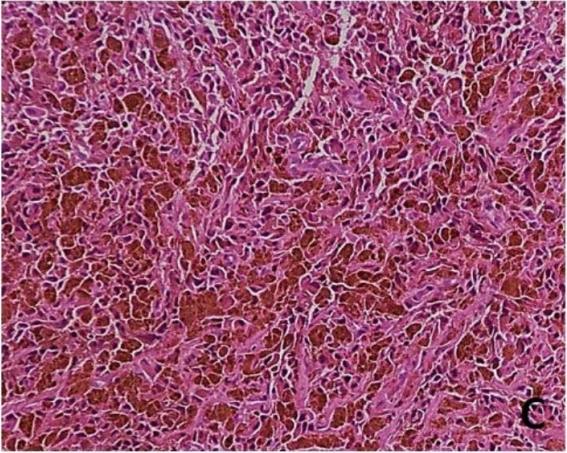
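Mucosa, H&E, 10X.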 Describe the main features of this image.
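Sheets and nests of spindle-shaped and plumper epithelioid-like cells with pink cytoplasm fill the tissue. Many cells are packed with coarse dark brown granular pigment, consistent with abundant pigment-laden macrophages scattered among the tumor cells.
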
